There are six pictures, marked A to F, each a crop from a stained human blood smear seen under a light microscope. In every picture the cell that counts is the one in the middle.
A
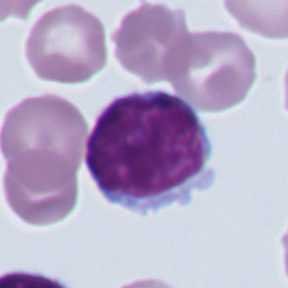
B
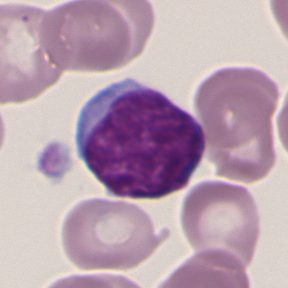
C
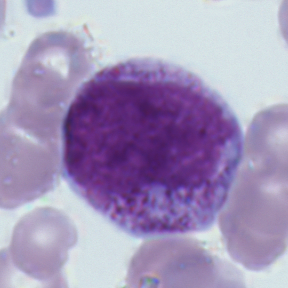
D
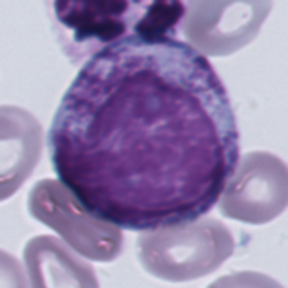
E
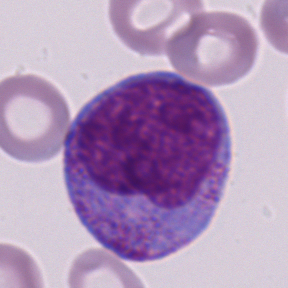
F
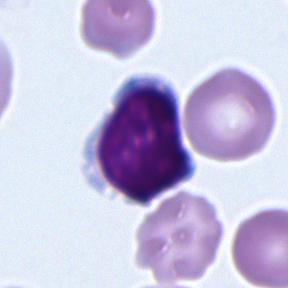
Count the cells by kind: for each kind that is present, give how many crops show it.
typical lymphocyte: 3
promyelocyte: 3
